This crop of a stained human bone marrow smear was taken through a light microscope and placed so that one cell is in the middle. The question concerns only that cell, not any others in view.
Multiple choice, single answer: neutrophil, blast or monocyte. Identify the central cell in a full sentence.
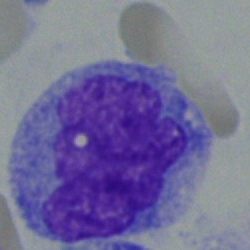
What the crop centres on is a monocyte.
